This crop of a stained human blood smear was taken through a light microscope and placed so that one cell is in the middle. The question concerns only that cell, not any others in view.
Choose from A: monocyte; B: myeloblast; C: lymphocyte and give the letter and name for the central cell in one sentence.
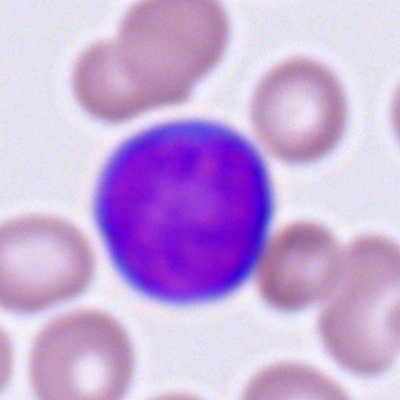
The centered cell is a myeloblast, which is why option B is right.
